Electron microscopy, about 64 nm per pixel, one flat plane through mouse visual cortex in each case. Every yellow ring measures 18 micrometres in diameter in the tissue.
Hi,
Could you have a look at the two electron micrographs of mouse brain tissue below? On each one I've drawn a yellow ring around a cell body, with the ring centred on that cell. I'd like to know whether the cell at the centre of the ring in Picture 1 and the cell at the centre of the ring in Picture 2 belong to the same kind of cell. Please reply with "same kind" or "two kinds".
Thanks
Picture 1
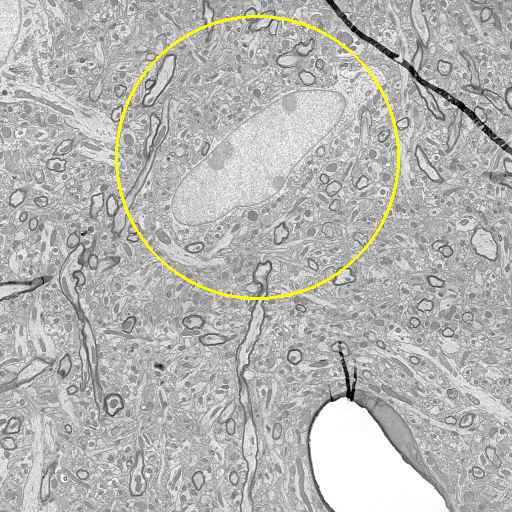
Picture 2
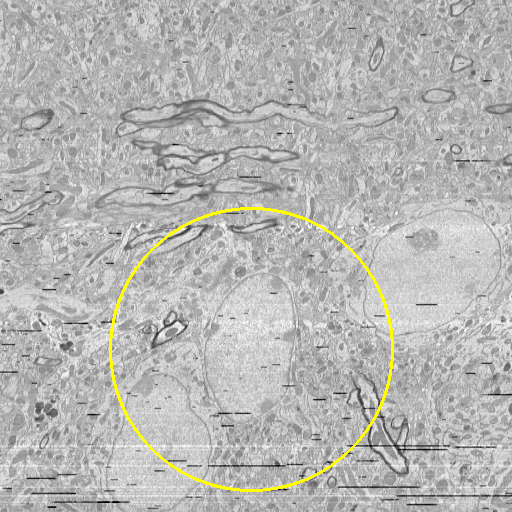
same kind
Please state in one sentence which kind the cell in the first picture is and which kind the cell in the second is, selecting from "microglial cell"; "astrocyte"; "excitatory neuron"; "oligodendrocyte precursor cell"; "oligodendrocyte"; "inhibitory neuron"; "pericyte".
Each of the two rings surrounds an astrocyte.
